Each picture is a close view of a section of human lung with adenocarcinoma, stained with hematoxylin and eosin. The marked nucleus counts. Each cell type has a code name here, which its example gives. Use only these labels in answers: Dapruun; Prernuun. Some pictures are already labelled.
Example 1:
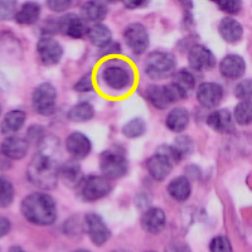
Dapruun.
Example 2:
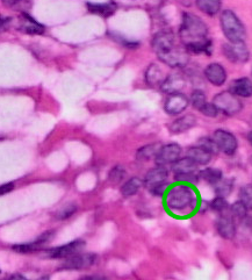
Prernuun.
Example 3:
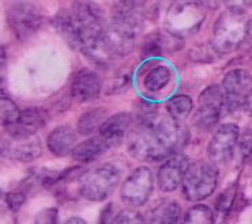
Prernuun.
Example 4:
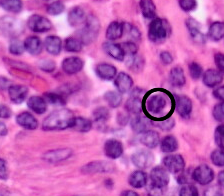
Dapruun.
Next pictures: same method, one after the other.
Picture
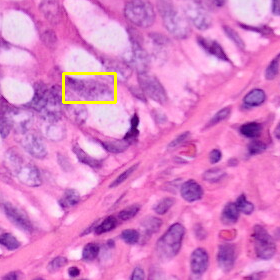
Prernuun.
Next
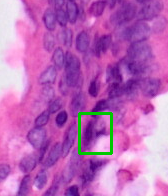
Prernuun.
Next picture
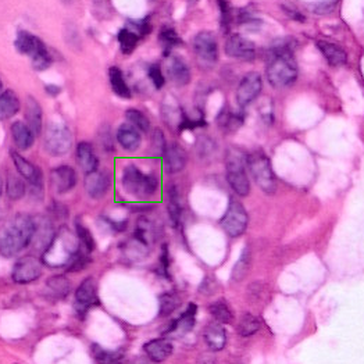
Prernuun.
